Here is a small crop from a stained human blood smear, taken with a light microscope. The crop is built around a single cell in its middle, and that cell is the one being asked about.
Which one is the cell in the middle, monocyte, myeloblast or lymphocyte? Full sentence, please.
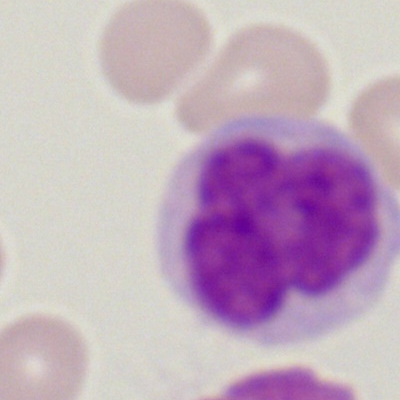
The centered cell in this crop is a monocyte.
